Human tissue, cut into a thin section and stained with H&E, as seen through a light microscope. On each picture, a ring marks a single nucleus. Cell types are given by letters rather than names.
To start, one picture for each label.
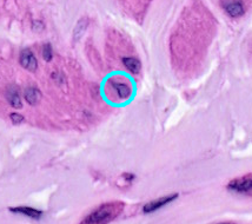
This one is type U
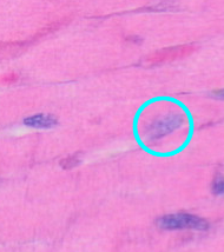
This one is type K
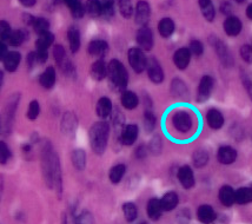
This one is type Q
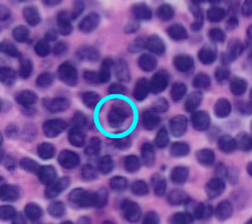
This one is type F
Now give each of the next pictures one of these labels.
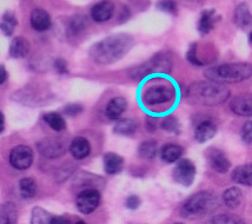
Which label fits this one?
type Q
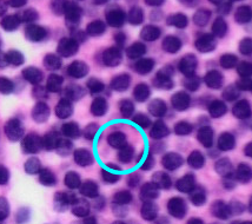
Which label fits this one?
type F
